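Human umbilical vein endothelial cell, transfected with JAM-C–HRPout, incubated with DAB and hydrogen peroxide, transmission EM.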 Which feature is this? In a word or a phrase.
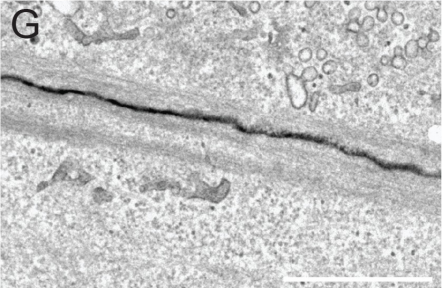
junctions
